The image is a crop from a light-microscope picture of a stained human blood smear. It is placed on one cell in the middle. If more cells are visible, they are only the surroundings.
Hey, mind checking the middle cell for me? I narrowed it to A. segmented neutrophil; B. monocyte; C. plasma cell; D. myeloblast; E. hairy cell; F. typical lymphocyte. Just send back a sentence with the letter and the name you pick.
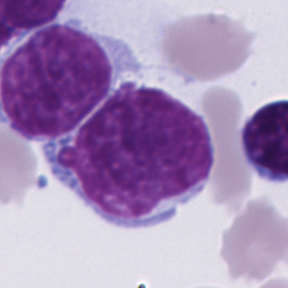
Option D gets it right: the cell in the middle is a myeloblast.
